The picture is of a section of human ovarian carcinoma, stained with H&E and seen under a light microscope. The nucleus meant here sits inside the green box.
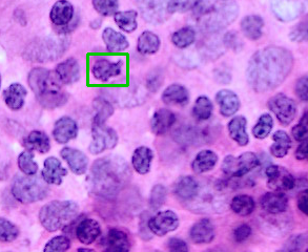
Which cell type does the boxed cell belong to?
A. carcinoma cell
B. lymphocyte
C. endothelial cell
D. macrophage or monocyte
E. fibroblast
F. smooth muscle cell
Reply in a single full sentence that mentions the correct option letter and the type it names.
The right option is B, the boxed cell being a lymphocyte.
